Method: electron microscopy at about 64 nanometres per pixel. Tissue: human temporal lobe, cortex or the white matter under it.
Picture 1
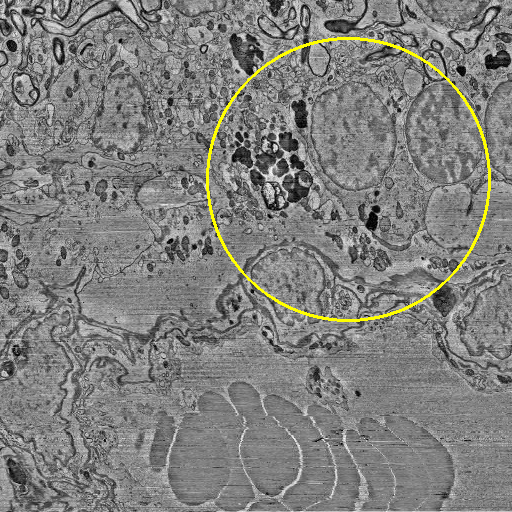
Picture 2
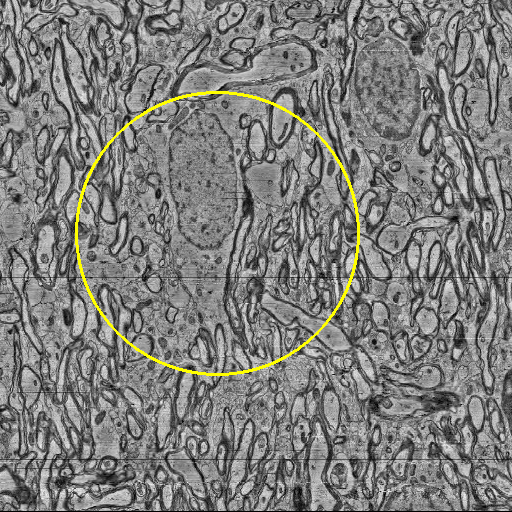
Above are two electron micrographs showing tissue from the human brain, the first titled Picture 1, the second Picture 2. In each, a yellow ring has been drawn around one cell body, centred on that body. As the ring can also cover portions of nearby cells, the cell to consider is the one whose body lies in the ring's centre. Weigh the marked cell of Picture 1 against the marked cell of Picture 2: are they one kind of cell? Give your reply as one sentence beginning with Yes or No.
No, the two cells sitting at the ring centres in the pictures are of two kinds.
